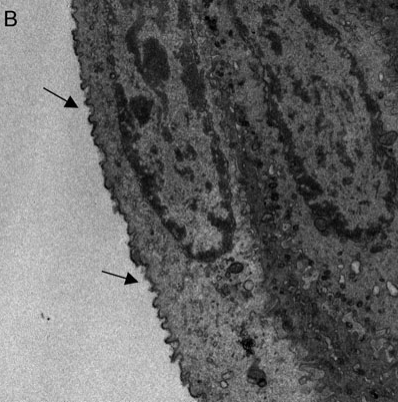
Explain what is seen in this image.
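This electron micrograph shows the surface cells of an epithelium, with the free surface running diagonally on the left beside an empty space. The surface membrane bears a row of short, low microvilli rather than tall projections. Inside the cells lie elongated nuclei with dark, dense chromatin clumped along the nuclear envelope. The cytoplasm contains scattered small vesicles and organelles, more of them towards the lower right.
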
